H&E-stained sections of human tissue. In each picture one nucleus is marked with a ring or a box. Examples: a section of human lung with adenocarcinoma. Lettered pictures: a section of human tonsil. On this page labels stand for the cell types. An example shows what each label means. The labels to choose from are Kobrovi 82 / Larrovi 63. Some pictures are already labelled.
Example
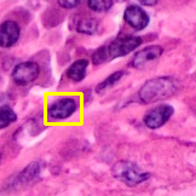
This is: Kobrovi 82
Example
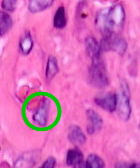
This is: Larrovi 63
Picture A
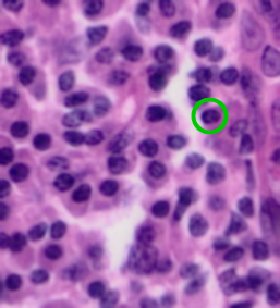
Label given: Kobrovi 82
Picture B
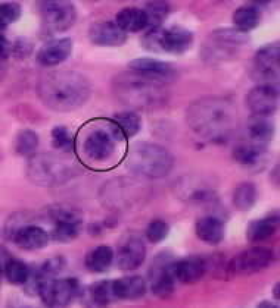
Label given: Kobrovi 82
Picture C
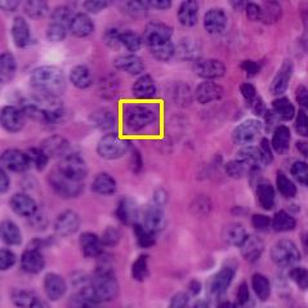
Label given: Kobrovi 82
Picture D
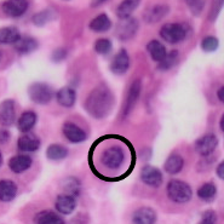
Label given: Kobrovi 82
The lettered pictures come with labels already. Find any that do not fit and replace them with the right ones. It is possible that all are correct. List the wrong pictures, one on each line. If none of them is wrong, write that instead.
B: not Kobrovi 82 but Larrovi 63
